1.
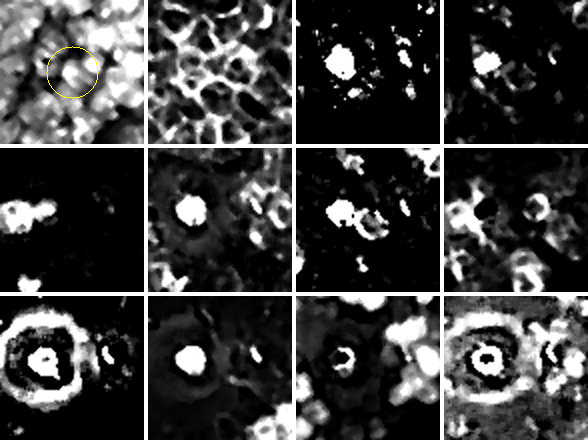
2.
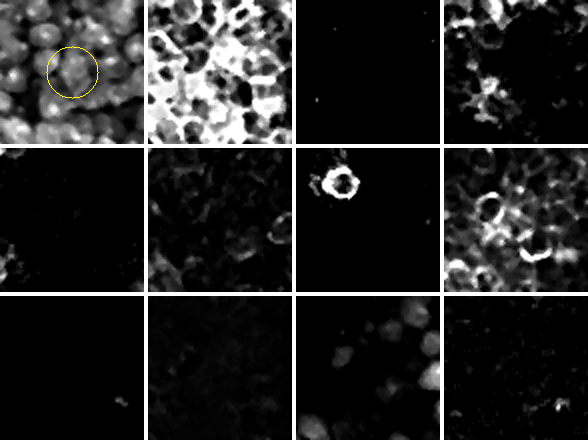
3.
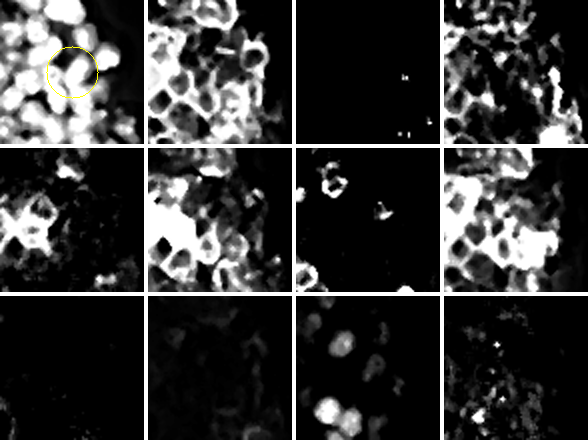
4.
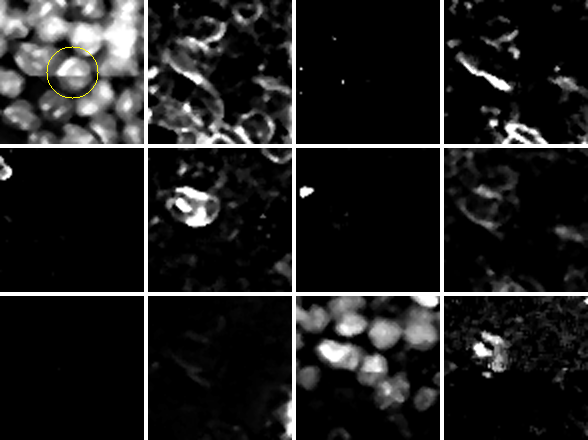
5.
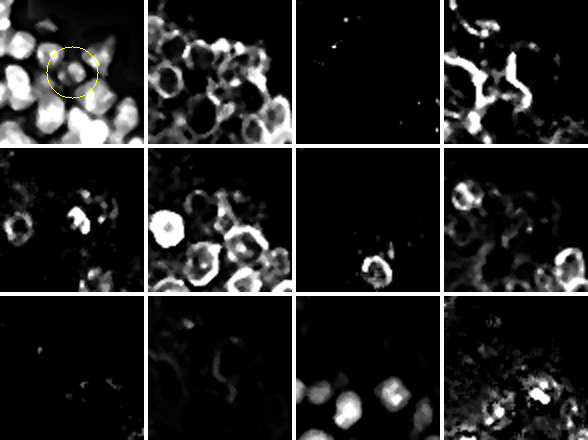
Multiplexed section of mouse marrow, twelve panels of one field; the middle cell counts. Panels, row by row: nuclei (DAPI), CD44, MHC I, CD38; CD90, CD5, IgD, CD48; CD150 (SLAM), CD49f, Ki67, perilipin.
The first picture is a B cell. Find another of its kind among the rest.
Picture 3.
